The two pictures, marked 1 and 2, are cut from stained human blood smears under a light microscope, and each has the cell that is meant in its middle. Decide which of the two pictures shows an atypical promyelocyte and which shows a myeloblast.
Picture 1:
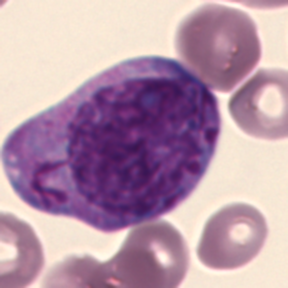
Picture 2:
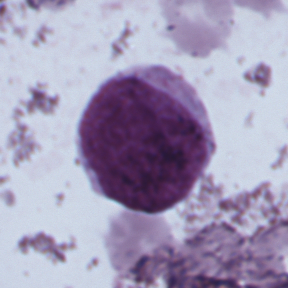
1: atypical promyelocyte
2: myeloblast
